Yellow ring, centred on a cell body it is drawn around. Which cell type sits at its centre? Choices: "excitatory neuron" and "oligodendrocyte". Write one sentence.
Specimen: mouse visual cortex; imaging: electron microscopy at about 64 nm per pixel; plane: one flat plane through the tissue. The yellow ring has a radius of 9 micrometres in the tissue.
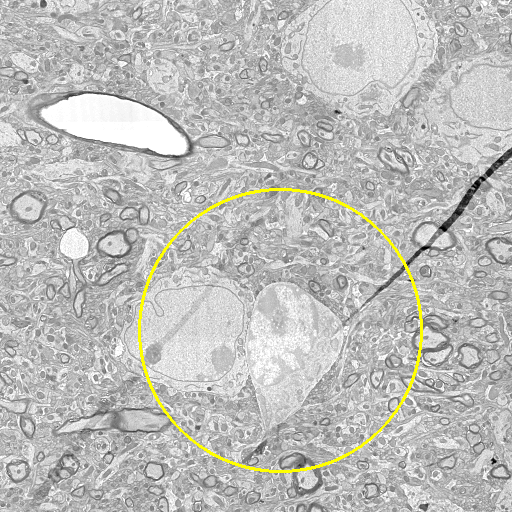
At the centre of the ring sits an oligodendrocyte.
